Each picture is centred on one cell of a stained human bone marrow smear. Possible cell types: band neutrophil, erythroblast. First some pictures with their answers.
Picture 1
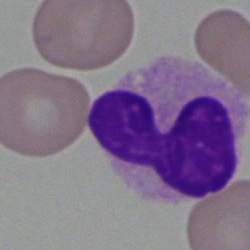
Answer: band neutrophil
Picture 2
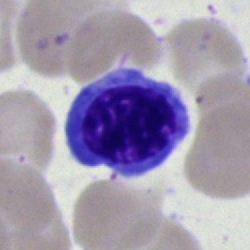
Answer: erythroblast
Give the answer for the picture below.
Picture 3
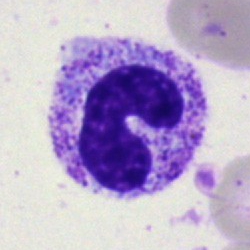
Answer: band neutrophil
